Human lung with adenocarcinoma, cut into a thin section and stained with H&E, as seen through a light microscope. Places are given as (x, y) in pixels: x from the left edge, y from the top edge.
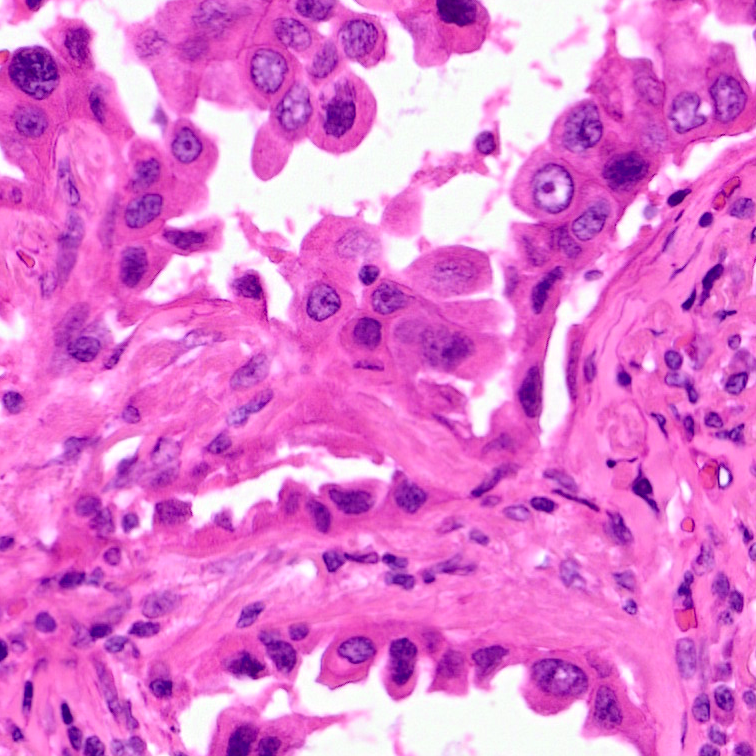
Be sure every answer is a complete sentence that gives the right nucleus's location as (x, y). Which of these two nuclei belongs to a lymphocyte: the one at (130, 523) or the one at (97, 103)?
The nucleus at (130, 523) belongs to a lymphocyte, which distinguishes it from the other nucleus.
